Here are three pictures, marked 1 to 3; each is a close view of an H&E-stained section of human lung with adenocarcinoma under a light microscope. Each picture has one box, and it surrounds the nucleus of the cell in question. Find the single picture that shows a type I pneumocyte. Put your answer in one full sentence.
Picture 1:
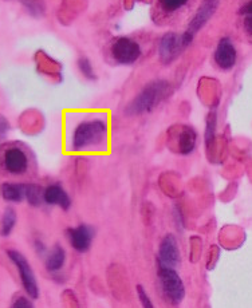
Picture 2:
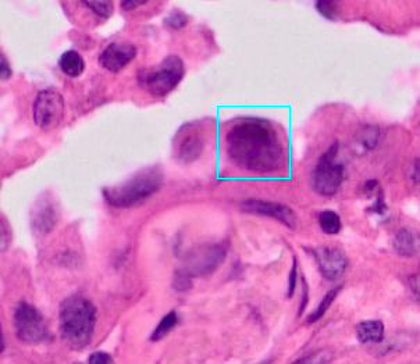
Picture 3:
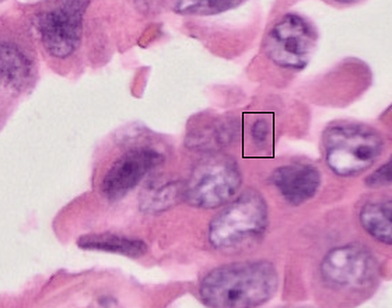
The cell in picture 1 is the type I pneumocyte.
